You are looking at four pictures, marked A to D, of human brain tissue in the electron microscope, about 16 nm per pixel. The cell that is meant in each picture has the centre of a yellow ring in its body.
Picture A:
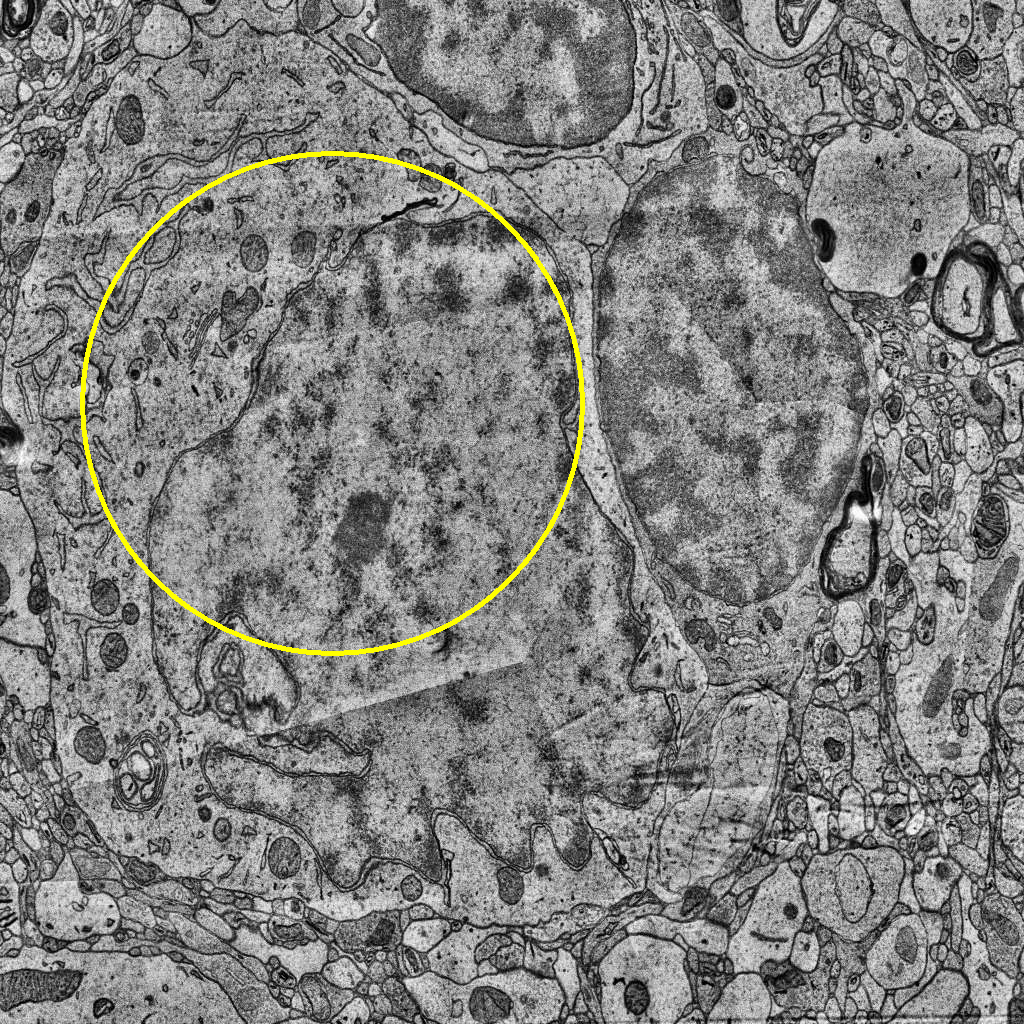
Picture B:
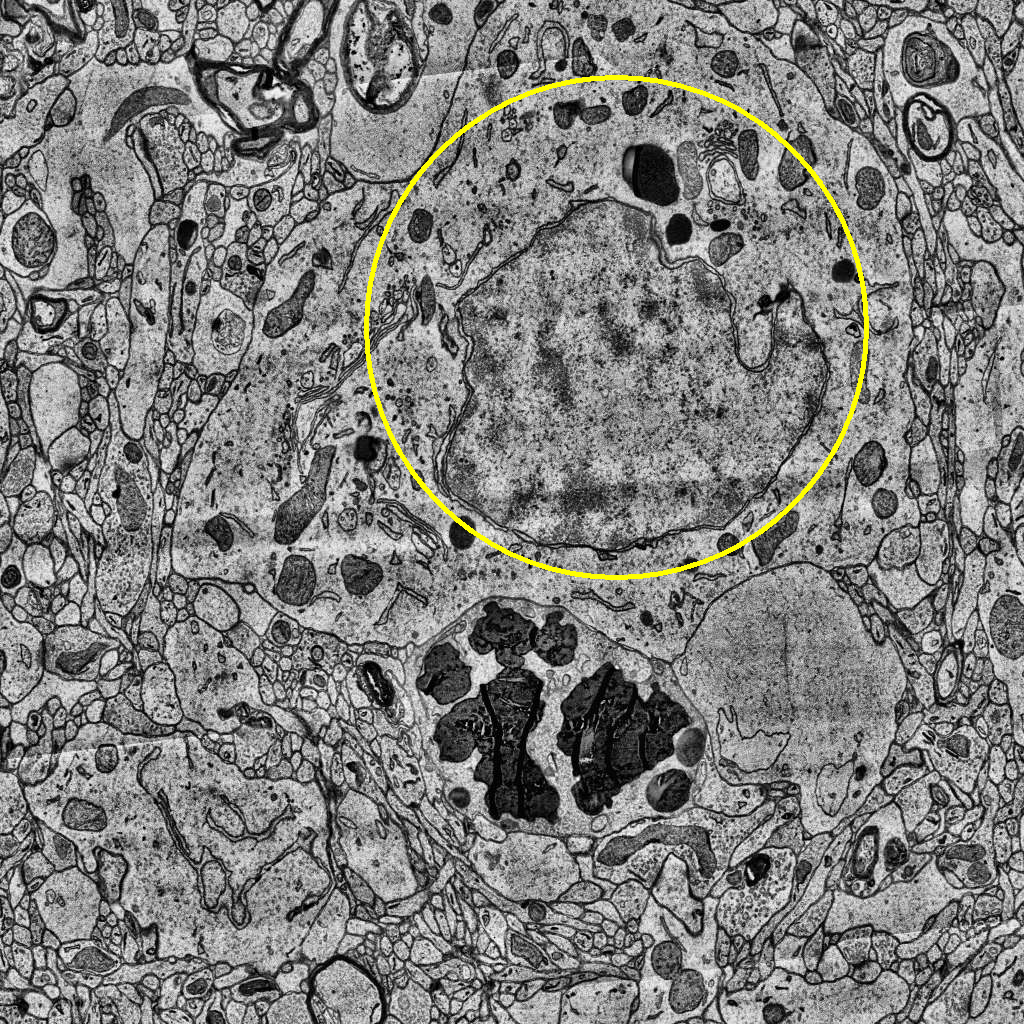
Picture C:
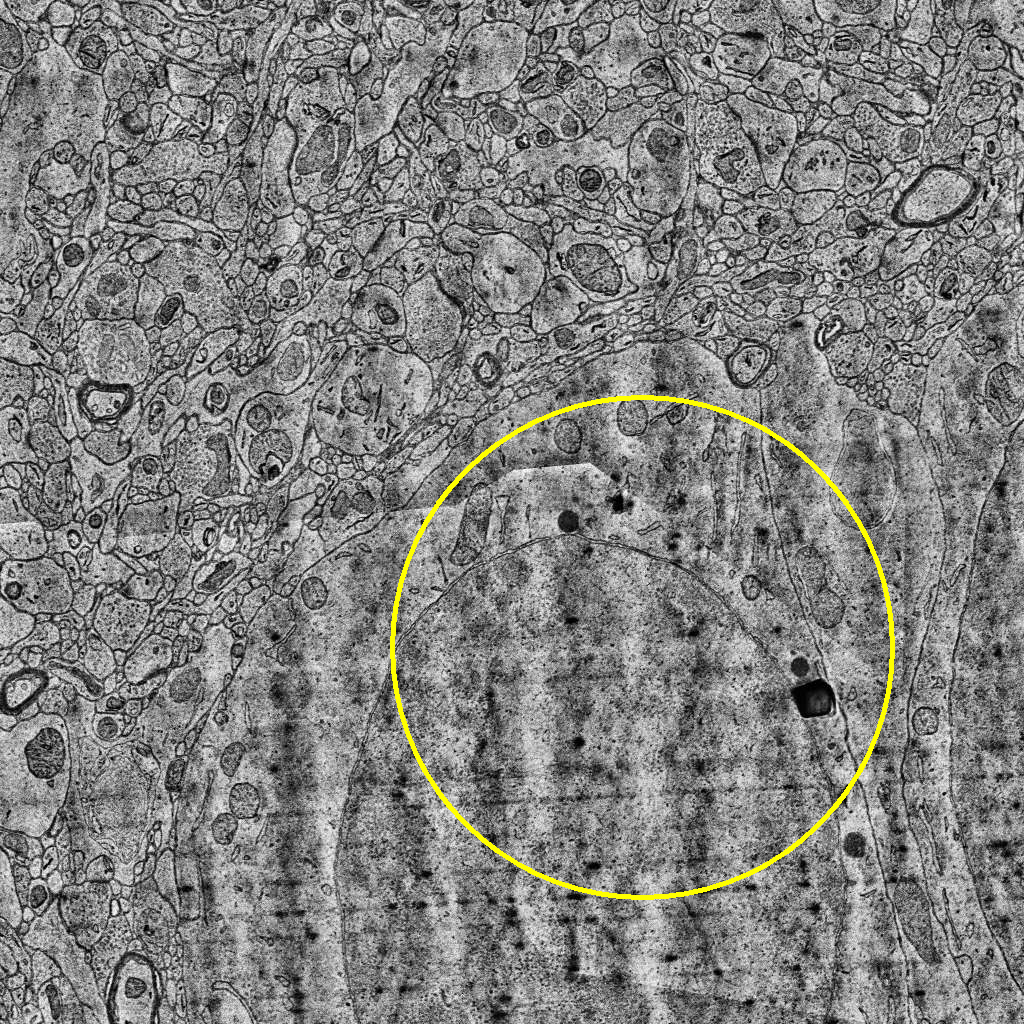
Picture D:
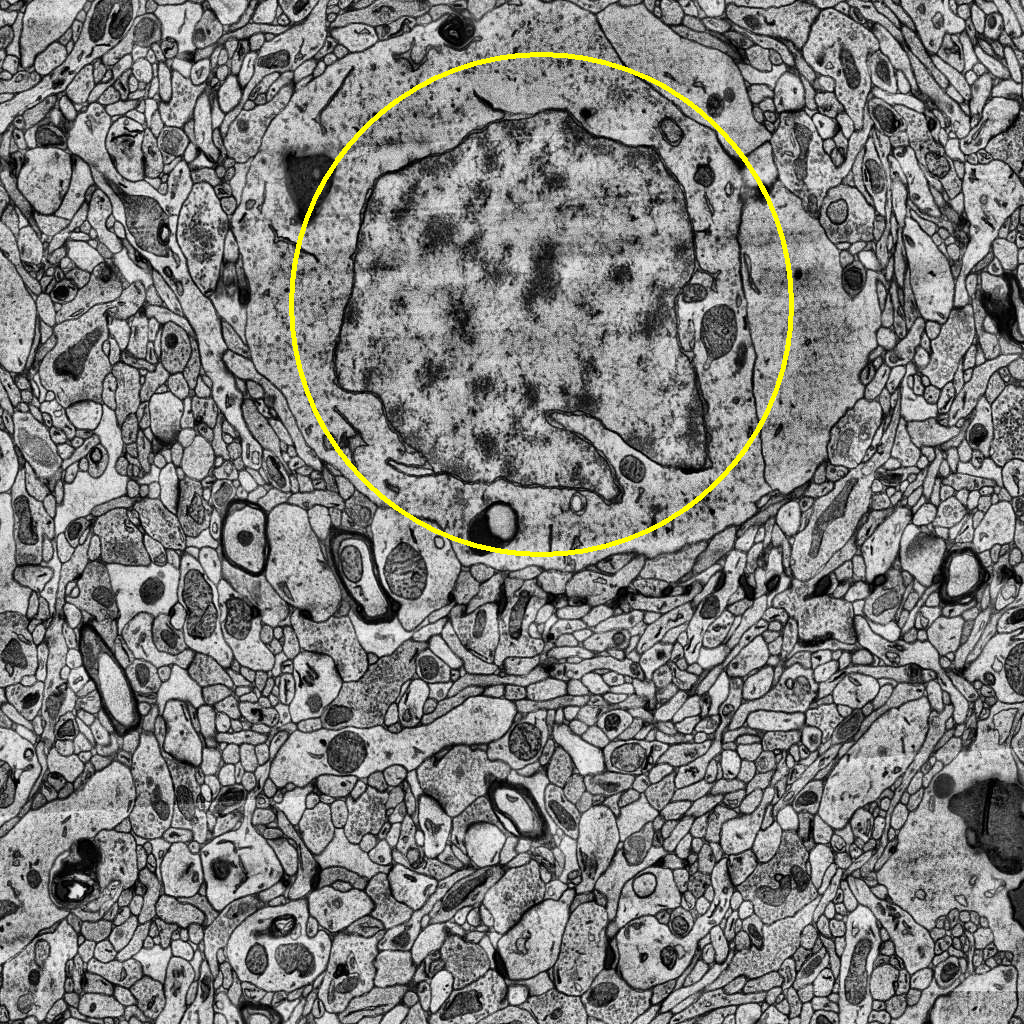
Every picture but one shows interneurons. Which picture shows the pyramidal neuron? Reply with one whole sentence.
The picture with the pyramidal neuron is C.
